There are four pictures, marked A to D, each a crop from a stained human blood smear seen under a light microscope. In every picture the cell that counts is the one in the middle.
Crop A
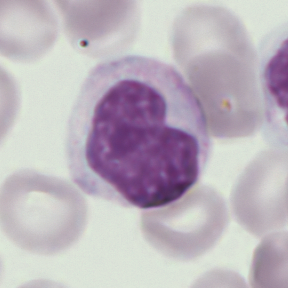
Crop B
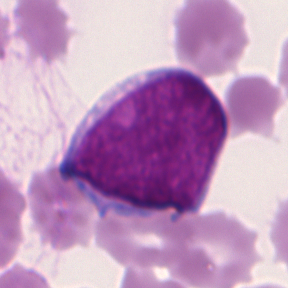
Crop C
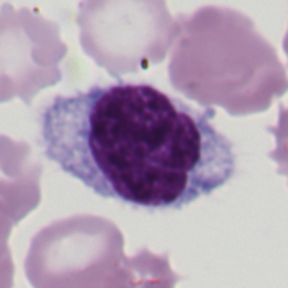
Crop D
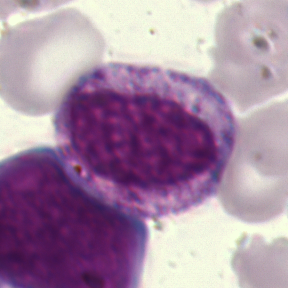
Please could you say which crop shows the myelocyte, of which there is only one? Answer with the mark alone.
D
